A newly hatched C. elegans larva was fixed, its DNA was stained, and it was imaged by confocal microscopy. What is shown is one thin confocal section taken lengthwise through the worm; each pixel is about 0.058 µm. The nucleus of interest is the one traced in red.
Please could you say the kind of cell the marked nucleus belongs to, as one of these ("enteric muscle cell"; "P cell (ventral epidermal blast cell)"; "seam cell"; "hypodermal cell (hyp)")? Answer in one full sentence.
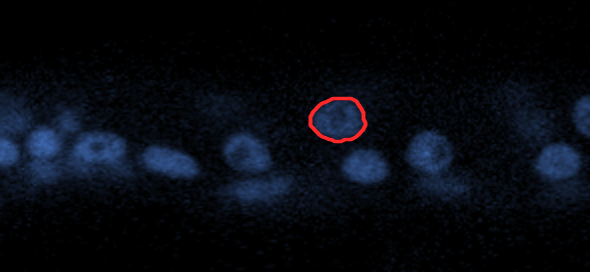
The marked nucleus belongs to a hypodermal cell (hyp).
